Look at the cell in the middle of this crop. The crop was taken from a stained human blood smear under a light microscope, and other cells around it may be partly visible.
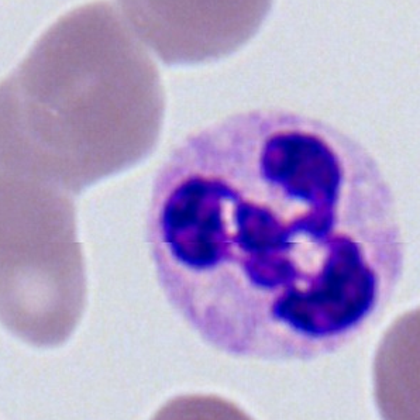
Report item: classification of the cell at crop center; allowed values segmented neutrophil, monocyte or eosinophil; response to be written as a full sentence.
Occupying the centre of the crop is a segmented neutrophil.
